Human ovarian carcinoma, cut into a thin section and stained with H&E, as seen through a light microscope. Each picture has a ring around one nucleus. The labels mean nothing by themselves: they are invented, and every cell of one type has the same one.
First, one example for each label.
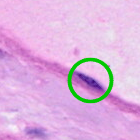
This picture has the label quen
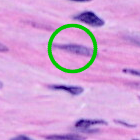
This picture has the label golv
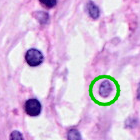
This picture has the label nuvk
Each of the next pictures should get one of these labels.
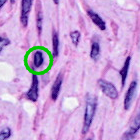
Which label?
nuvk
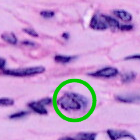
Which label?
quen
